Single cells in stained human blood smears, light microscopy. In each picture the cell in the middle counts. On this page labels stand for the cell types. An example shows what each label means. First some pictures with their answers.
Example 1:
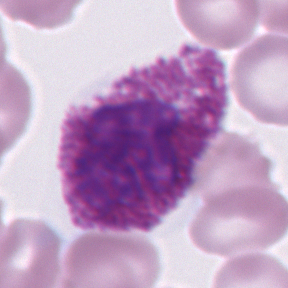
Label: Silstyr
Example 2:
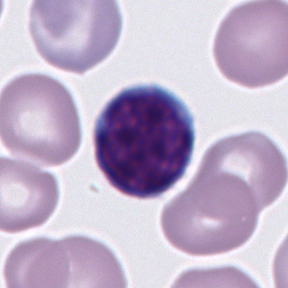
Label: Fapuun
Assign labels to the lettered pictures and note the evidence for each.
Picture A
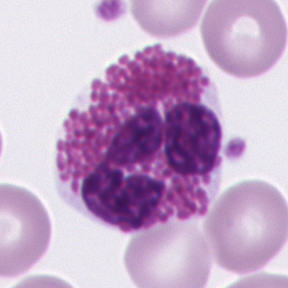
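Silstyr: The nucleus is divided into three separate lobes.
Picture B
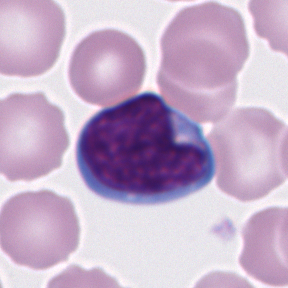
Fapuun: The cytoplasm stains blue.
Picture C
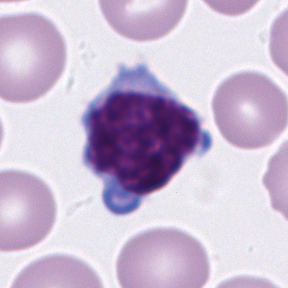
Fapuun: The nucleus is a single unlobed mass.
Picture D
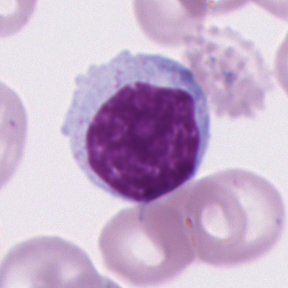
Fapuun: A few fine reddish-purple granules are scattered in the cytoplasm.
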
